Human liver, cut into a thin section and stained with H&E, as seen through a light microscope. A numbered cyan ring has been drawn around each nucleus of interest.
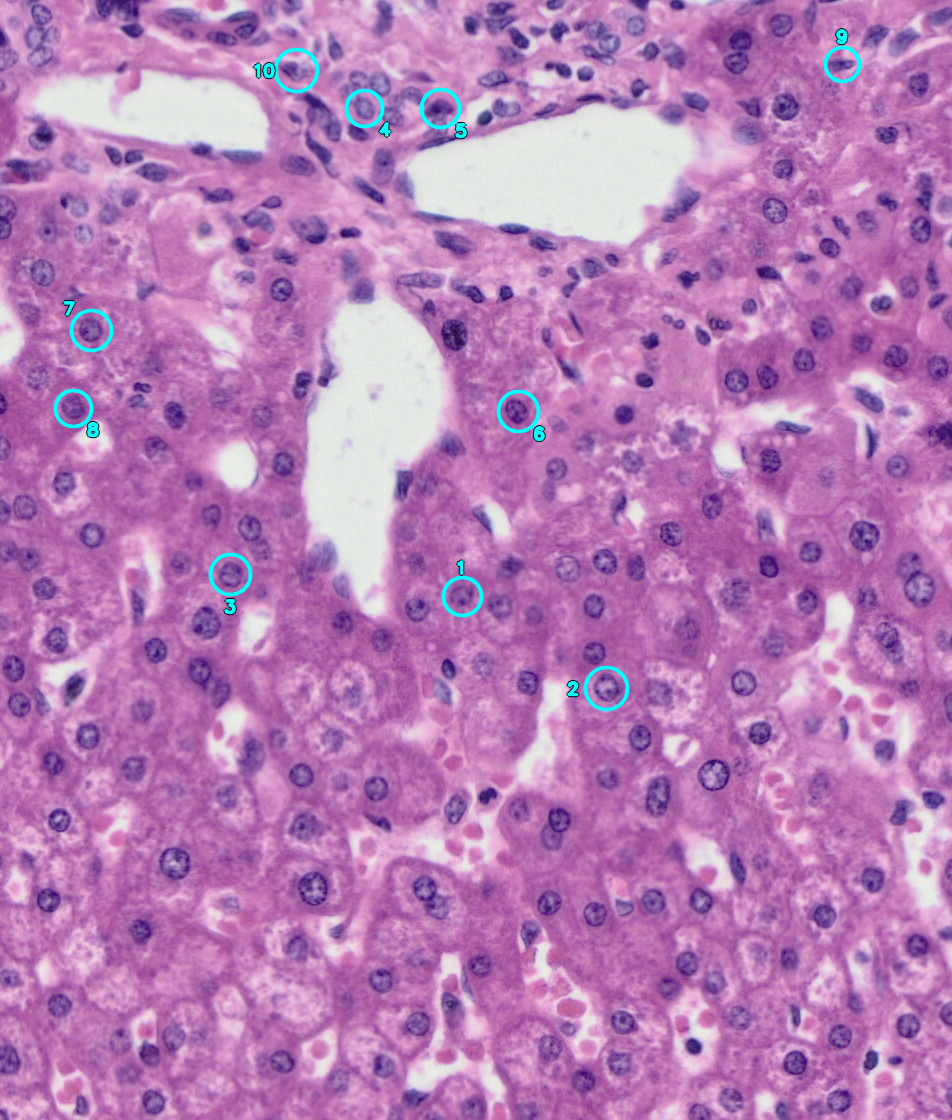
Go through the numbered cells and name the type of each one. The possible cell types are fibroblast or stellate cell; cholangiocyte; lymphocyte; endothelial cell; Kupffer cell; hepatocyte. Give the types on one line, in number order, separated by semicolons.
hepatocyte; hepatocyte; hepatocyte; cholangiocyte; fibroblast or stellate cell; hepatocyte; hepatocyte; hepatocyte; fibroblast or stellate cell; fibroblast or stellate cell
